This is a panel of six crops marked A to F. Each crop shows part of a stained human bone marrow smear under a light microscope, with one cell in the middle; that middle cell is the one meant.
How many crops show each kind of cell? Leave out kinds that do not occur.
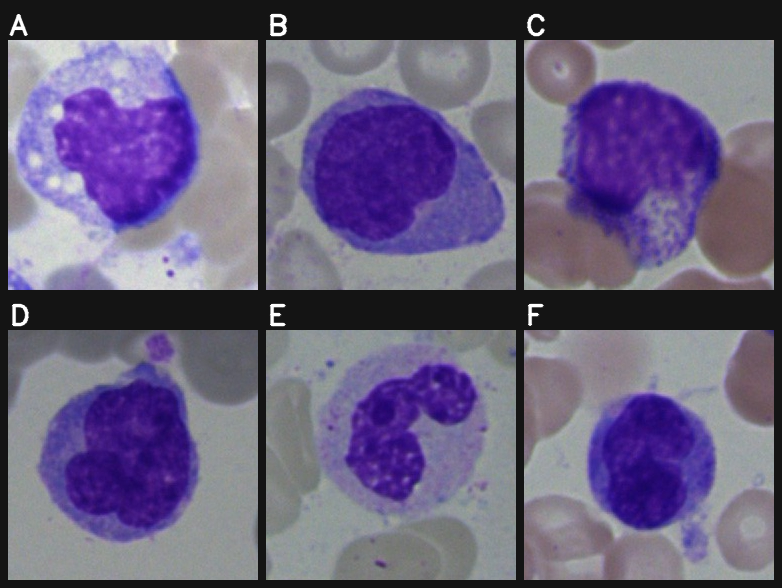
monocyte: 4
myelocyte: 1
band neutrophil: 1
